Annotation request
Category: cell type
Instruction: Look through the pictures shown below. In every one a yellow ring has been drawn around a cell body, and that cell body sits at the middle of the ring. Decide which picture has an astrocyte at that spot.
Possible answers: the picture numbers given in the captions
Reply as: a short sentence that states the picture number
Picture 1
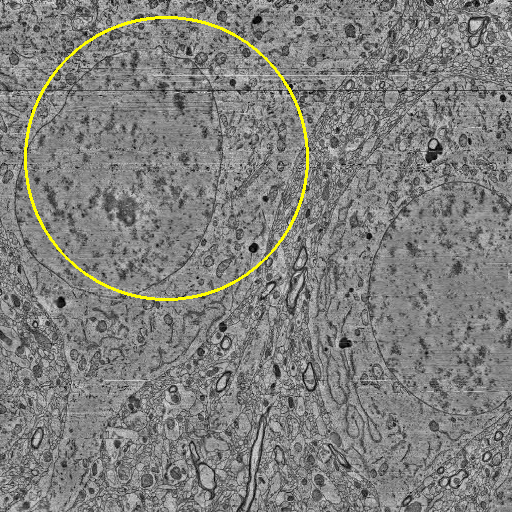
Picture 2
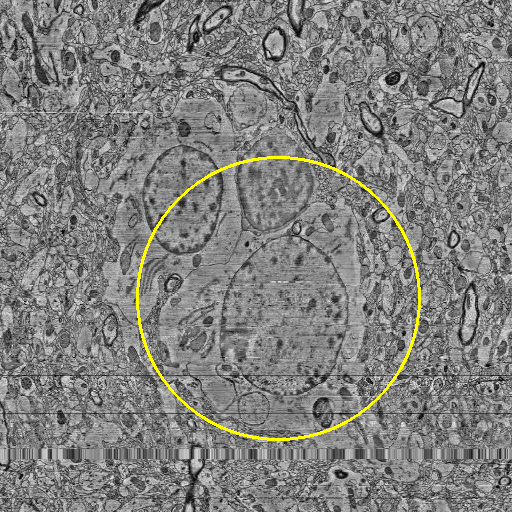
It is in Picture 2.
